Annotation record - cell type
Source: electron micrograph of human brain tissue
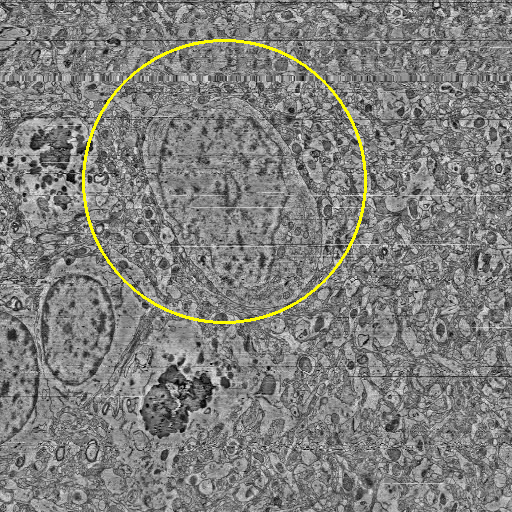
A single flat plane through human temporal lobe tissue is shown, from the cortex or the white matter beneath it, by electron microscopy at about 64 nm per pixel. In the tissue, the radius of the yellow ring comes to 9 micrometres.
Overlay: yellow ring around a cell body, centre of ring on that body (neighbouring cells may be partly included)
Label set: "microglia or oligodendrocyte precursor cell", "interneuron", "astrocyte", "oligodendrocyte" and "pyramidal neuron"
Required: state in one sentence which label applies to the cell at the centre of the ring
This cell should be labelled as an interneuron.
